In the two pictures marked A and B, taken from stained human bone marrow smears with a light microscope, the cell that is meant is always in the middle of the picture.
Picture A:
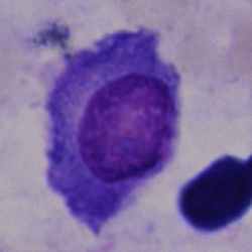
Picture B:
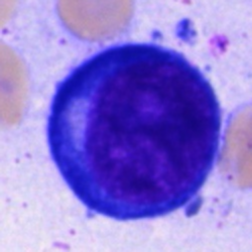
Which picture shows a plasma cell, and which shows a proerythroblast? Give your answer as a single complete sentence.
Picture A is of a plasma cell, and picture B is of a proerythroblast.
